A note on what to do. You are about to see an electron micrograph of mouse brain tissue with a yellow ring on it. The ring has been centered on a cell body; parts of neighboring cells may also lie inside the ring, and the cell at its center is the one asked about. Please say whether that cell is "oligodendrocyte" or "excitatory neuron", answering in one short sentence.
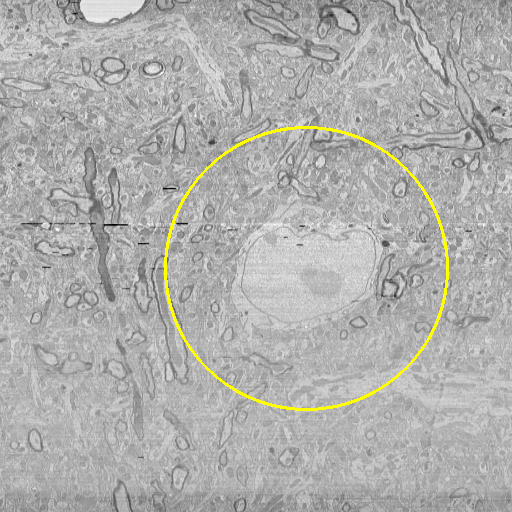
The yellow ring sits on an excitatory neuron.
